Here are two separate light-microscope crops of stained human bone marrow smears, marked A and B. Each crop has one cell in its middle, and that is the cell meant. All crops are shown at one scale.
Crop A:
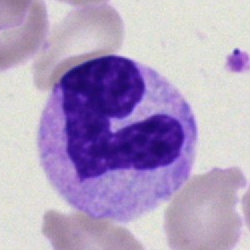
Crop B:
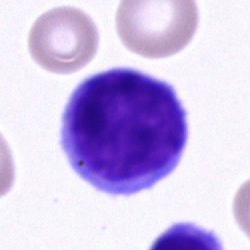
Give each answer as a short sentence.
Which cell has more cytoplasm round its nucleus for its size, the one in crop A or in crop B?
The nucleus fills less of the cell in crop A than in crop B.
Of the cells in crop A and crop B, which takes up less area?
Smaller is the cell in crop B, and the other is about 1.5 times as large in area.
